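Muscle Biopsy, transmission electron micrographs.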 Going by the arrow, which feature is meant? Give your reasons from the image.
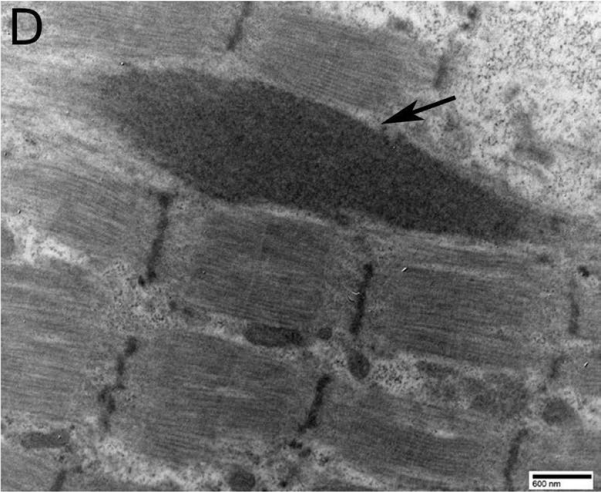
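A spindle-shaped electron-dense body lies between myofibrils. Its density is similar to the dark Z-lines of neighbouring sarcomeres. It is oriented along the length of the myofibrils.
Answer: Nemaline bodies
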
